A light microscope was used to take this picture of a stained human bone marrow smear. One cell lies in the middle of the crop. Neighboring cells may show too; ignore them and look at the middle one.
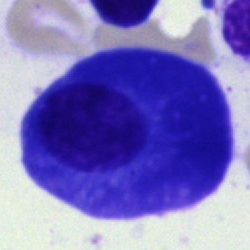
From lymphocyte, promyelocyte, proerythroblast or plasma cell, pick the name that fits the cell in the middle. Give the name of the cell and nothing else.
plasma cell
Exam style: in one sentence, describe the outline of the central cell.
Its periphery is smooth, and no projections arise from it.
